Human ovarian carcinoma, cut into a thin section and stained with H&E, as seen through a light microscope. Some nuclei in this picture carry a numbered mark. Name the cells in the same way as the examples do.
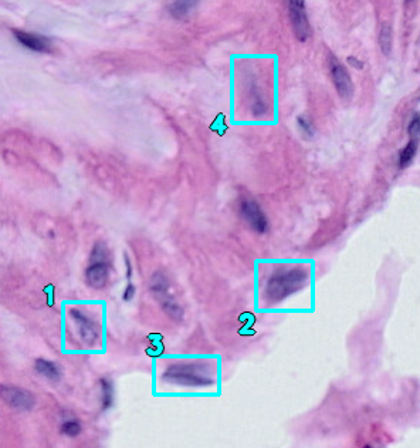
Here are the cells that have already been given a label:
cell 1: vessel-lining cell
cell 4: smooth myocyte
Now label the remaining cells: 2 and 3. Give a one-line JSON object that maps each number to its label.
{"2": "vessel-lining cell", "3": "vessel-lining cell"}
